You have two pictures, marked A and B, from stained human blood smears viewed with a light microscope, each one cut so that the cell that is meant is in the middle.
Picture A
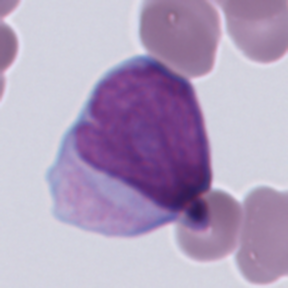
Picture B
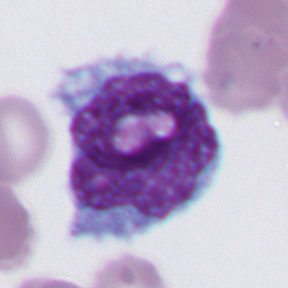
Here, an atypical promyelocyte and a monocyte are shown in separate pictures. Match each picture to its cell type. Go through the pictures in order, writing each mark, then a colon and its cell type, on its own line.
A: atypical promyelocyte
B: monocyte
